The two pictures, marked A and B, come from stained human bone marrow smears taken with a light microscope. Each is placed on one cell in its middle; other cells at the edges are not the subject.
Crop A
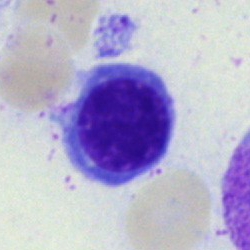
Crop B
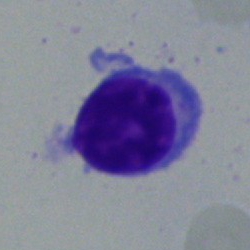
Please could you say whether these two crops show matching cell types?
no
